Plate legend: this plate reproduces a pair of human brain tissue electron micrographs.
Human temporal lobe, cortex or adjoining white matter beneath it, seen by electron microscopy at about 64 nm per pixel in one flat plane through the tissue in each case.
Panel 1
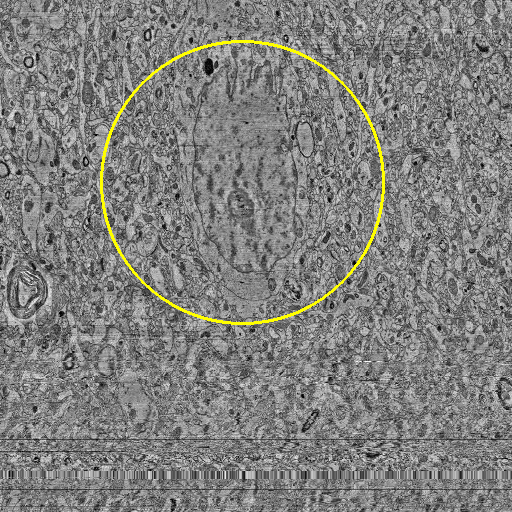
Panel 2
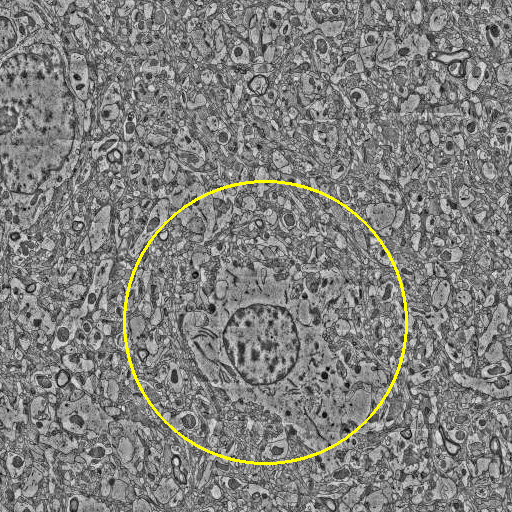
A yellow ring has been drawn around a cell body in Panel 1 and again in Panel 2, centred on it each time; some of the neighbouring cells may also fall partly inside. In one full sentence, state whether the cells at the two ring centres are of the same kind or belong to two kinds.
The ring-centred cells of Panel 1 and Panel 2 belong to two kinds.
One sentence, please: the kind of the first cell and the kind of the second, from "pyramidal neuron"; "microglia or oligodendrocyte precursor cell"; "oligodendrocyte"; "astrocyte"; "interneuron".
The ring in the first picture surrounds an interneuron, and the ring in the second surrounds an astrocyte.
